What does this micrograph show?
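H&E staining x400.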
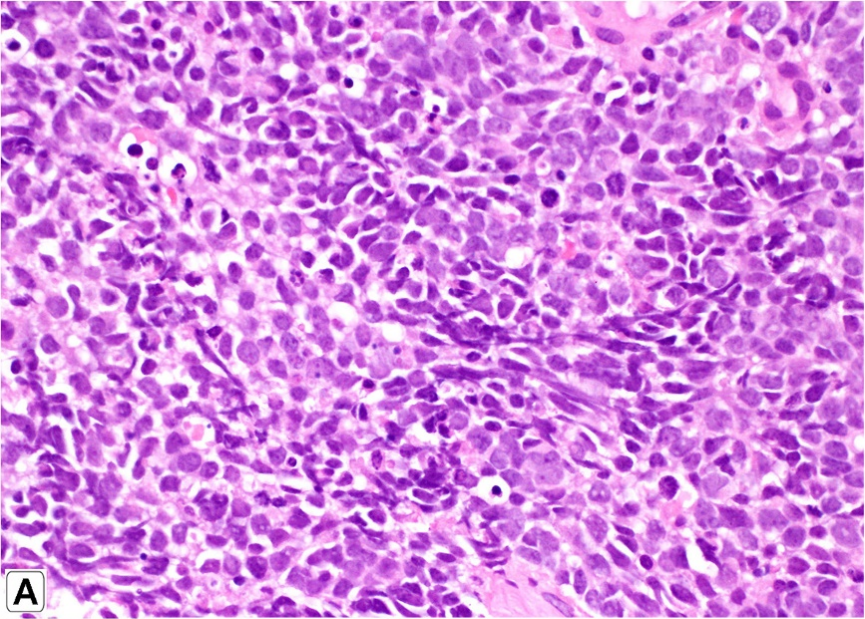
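This is a small cell carcinoma: a diffuse sheet of crowded tumour cells with very little pale cytoplasm and dark, oval to spindled nuclei with fine chromatin that mould against one another. Through the centre, nuclei are drawn out into dark streaks, and small dense apoptotic fragments lie scattered among the cells.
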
